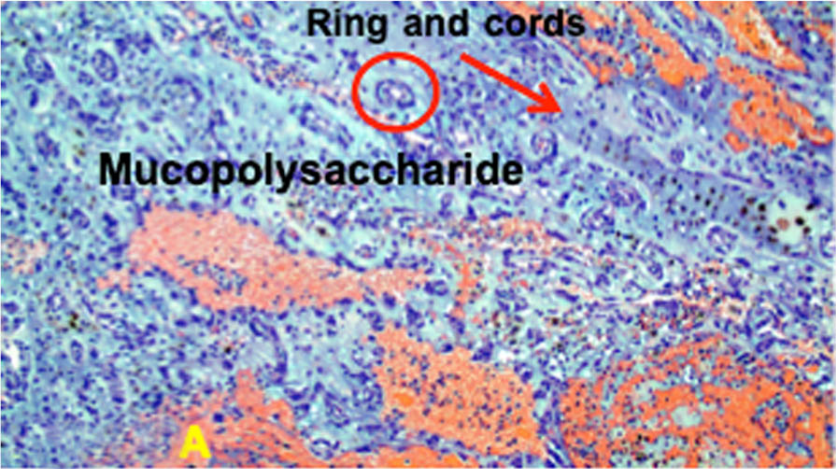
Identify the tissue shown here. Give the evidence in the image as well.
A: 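Myxomas. Pale blue-stained loose ground substance fills much of the field. Scattered cells lie in small rings and strands within the pale matrix. Orange-red areas of extravasated blood lie between the matrix.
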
